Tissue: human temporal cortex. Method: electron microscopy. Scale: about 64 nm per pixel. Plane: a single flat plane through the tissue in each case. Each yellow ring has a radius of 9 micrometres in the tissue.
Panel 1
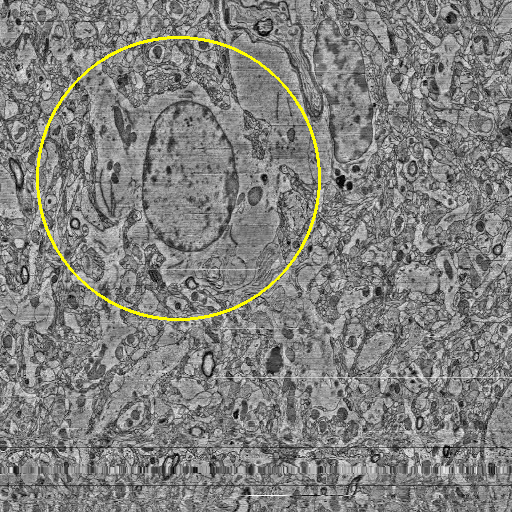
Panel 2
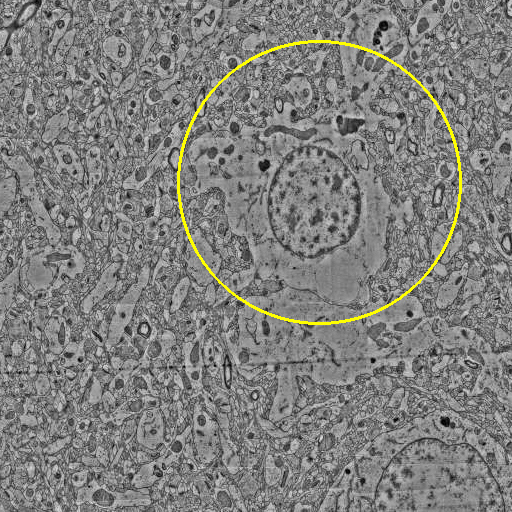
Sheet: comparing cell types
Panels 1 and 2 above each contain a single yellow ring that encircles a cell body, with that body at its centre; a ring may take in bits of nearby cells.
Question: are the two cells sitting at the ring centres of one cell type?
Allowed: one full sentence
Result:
Yes, the ring-centre cells in Panel 1 and Panel 2 are of one type.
